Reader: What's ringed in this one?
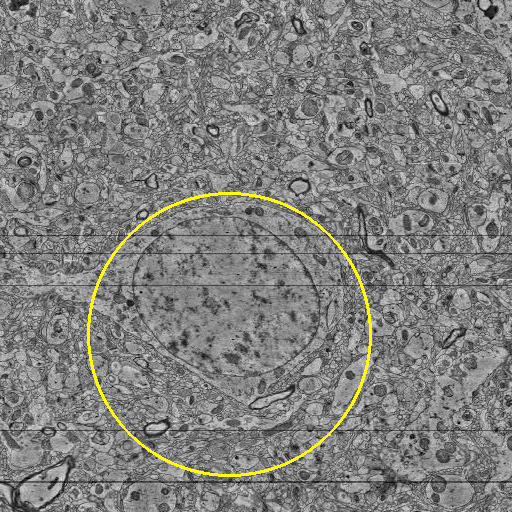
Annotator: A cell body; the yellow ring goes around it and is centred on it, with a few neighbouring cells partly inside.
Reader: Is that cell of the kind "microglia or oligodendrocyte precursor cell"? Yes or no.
no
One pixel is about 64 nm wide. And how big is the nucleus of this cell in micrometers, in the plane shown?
About 12 micrometres by about 10 micrometres in this plane.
